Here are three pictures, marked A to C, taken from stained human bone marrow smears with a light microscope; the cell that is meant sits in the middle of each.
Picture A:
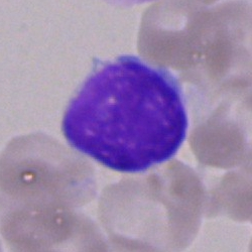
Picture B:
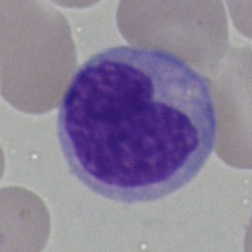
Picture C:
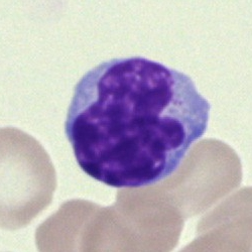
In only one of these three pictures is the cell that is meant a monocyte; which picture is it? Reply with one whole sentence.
Picture B is the one that shows the monocyte.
